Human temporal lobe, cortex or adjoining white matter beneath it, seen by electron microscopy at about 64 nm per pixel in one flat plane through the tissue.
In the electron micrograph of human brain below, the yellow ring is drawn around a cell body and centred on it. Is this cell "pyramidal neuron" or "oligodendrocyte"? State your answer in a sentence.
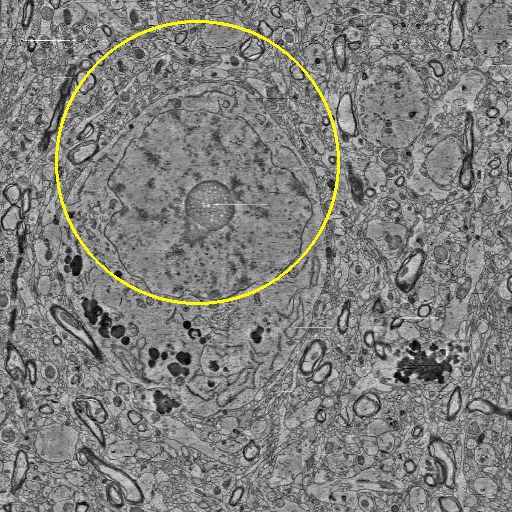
The cell in the middle of the ring is a pyramidal neuron.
